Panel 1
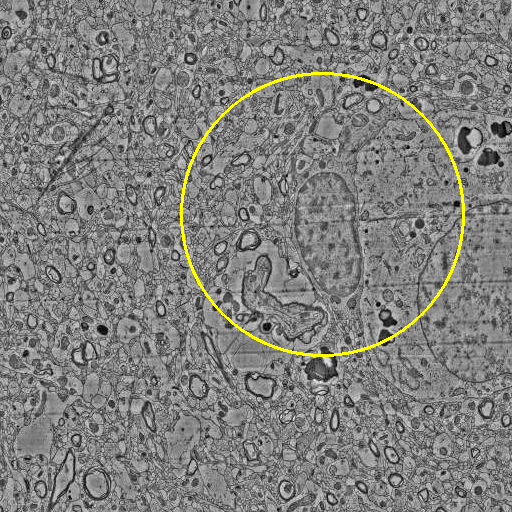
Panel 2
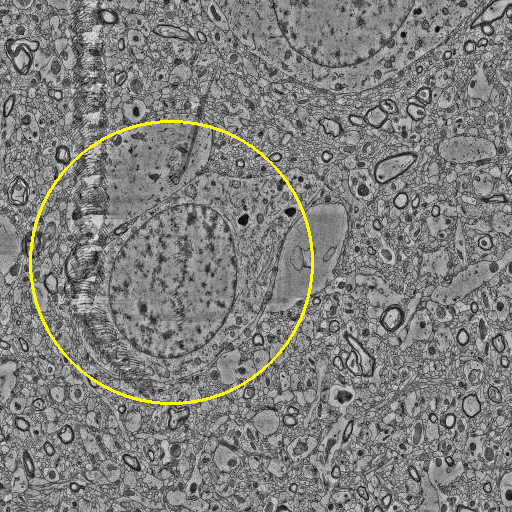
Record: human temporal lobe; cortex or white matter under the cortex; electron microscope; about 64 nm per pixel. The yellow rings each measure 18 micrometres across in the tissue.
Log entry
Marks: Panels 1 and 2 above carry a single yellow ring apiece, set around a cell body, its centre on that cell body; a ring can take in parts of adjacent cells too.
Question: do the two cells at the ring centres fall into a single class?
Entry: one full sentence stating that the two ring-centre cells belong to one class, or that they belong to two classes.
The two ring-centre cells in Panels 1 and 2 belong to two classes.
